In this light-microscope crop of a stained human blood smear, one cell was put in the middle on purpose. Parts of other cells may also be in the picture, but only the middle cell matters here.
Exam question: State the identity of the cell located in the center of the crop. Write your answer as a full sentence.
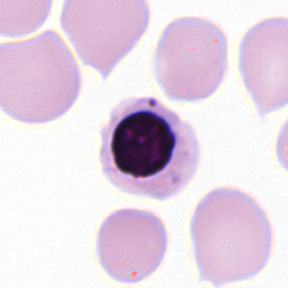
The crop's centre is taken up by a normoblast.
